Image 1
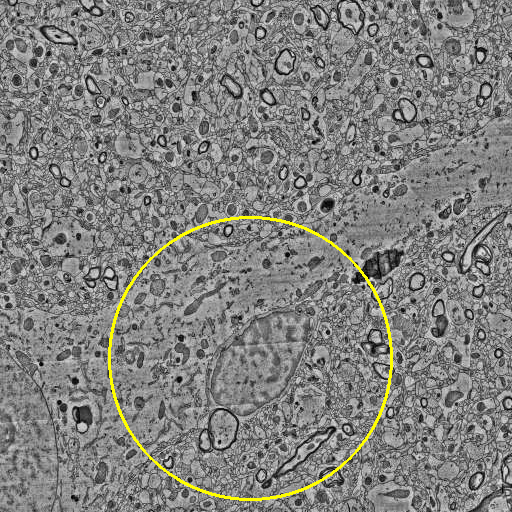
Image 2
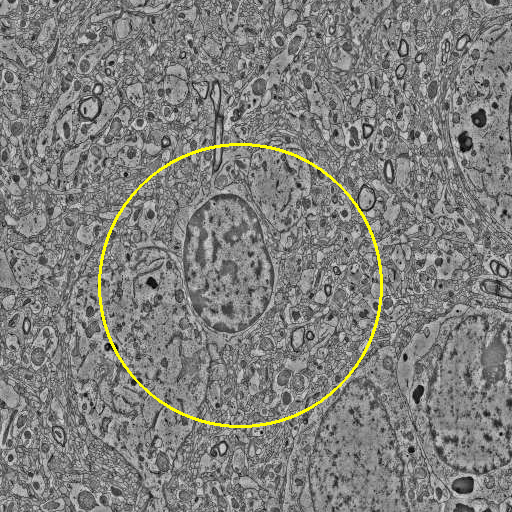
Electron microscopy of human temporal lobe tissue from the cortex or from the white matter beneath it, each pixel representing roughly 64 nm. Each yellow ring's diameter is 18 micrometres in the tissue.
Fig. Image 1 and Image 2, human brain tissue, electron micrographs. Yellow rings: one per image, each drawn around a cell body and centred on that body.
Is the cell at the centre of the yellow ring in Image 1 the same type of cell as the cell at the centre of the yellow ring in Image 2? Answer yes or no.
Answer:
no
